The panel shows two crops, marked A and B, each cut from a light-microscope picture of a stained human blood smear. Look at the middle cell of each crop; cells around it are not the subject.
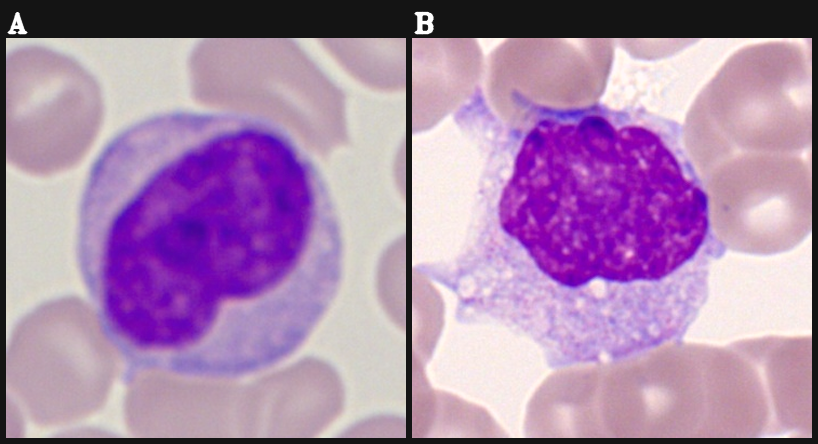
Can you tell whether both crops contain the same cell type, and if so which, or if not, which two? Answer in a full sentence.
Yes, both crops here show monocytes, the pair of them.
